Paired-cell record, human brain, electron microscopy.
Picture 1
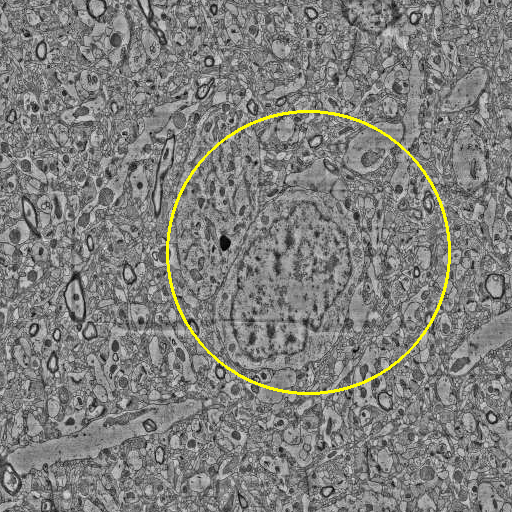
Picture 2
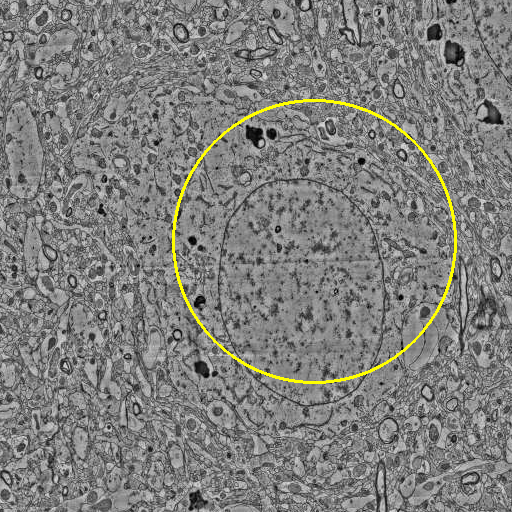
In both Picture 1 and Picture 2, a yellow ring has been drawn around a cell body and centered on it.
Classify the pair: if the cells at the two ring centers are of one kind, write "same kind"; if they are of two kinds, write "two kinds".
two kinds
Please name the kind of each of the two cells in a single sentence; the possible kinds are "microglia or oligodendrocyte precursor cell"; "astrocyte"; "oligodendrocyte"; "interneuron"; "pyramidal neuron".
In the first picture the ring is centred on an interneuron, and in the second on a pyramidal neuron.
